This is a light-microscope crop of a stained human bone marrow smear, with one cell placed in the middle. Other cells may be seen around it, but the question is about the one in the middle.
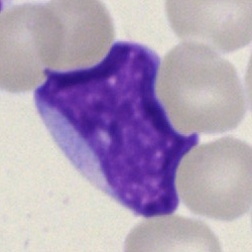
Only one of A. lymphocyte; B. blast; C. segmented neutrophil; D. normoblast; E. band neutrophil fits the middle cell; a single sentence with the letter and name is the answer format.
This one is option B, since the cell at the center is a blast.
